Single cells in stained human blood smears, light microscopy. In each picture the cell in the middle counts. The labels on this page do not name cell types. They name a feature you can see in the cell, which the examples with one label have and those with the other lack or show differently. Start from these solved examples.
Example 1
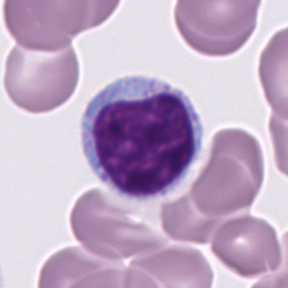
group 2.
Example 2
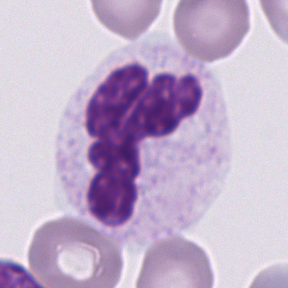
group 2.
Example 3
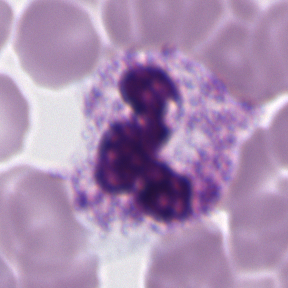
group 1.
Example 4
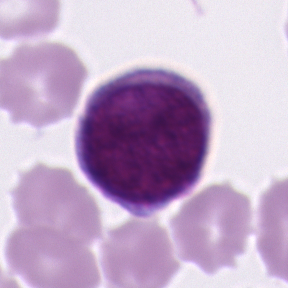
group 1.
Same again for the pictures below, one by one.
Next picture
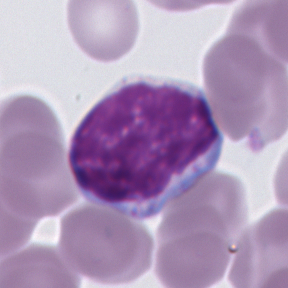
group 2.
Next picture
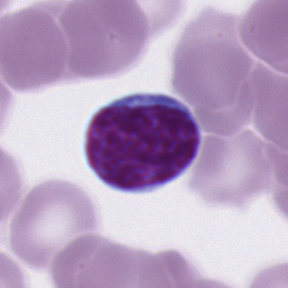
group 2.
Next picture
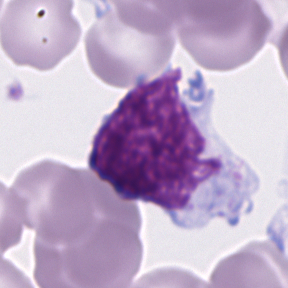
group 1.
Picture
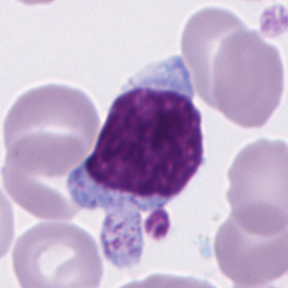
group 1.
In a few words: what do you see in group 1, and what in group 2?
group 1, ragged outline or projections; group 2, smooth outline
